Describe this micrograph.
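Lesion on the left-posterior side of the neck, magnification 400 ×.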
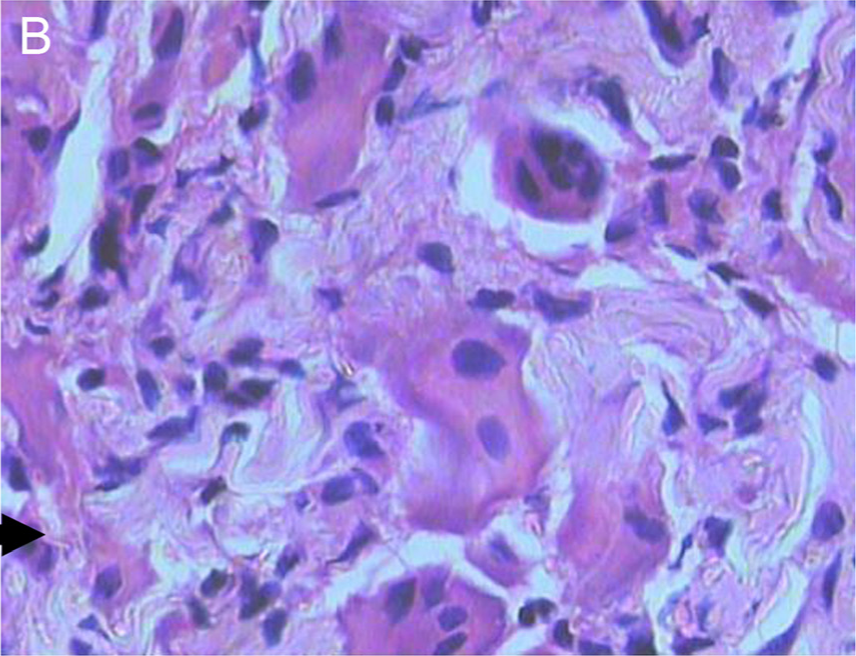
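Dermis with multinucleate giant cells and scattered tissue cells among collagen bundles. Several giant cells have broad, homogeneous pink-purple cytoplasm and hold two or more dark, oval nuclei; one near the upper middle has a cluster of nuclei and is surrounded by a clear space. Between them lie many smaller cells with single dark, oval to spindle-shaped nuclei and scant cytoplasm. Pale pink, wavy fibre bundles separate the cells, with clefts of clear space between bundles. No epidermis is in view.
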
